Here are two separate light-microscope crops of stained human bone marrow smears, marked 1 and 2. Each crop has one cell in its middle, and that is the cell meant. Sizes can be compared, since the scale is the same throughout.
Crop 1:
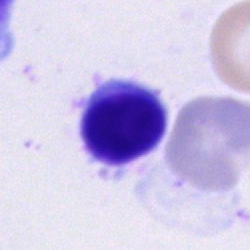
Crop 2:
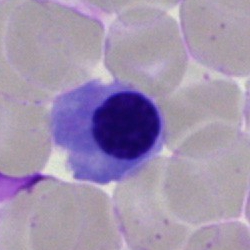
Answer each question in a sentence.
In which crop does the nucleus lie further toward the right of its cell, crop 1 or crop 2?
In crop 2 the nucleus is shifted more toward the right.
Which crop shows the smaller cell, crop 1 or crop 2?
Smaller is the cell in crop 1, and the other is about 1.5 times as large in area.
